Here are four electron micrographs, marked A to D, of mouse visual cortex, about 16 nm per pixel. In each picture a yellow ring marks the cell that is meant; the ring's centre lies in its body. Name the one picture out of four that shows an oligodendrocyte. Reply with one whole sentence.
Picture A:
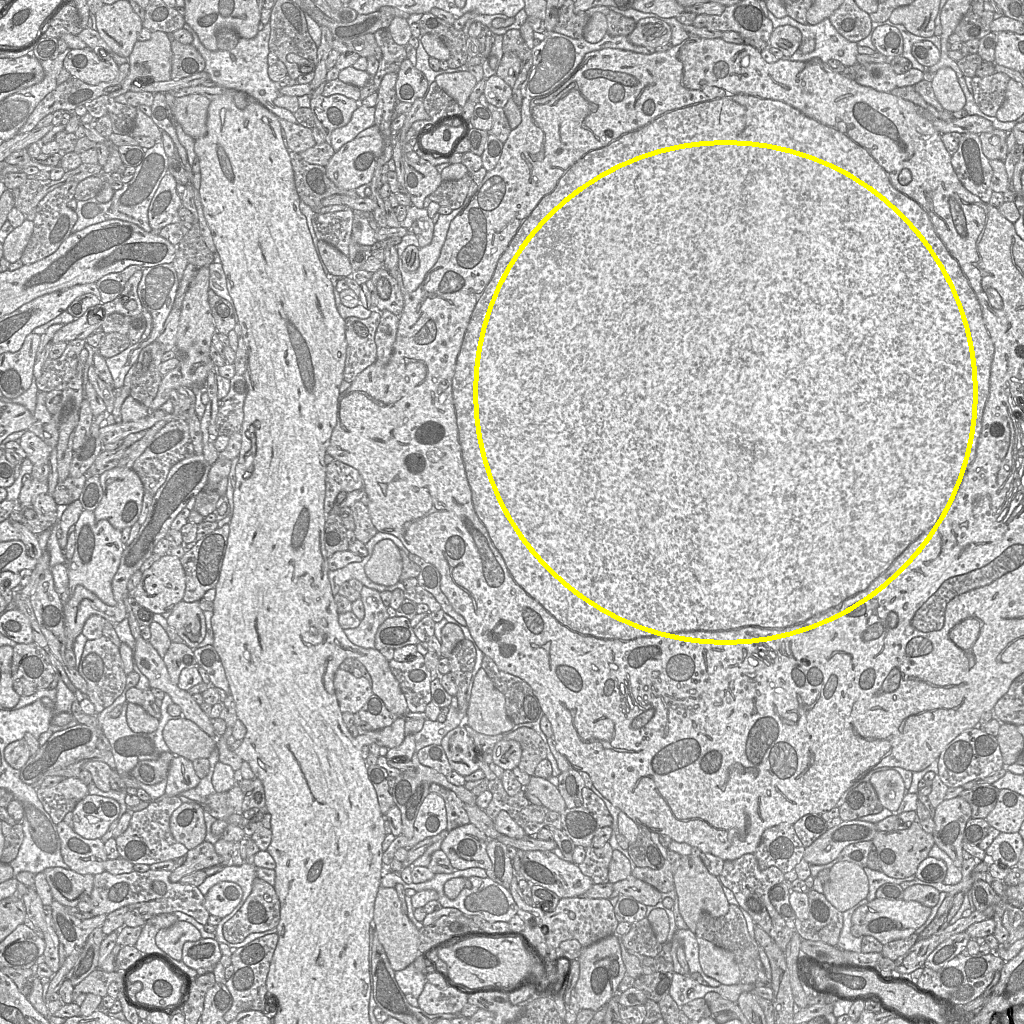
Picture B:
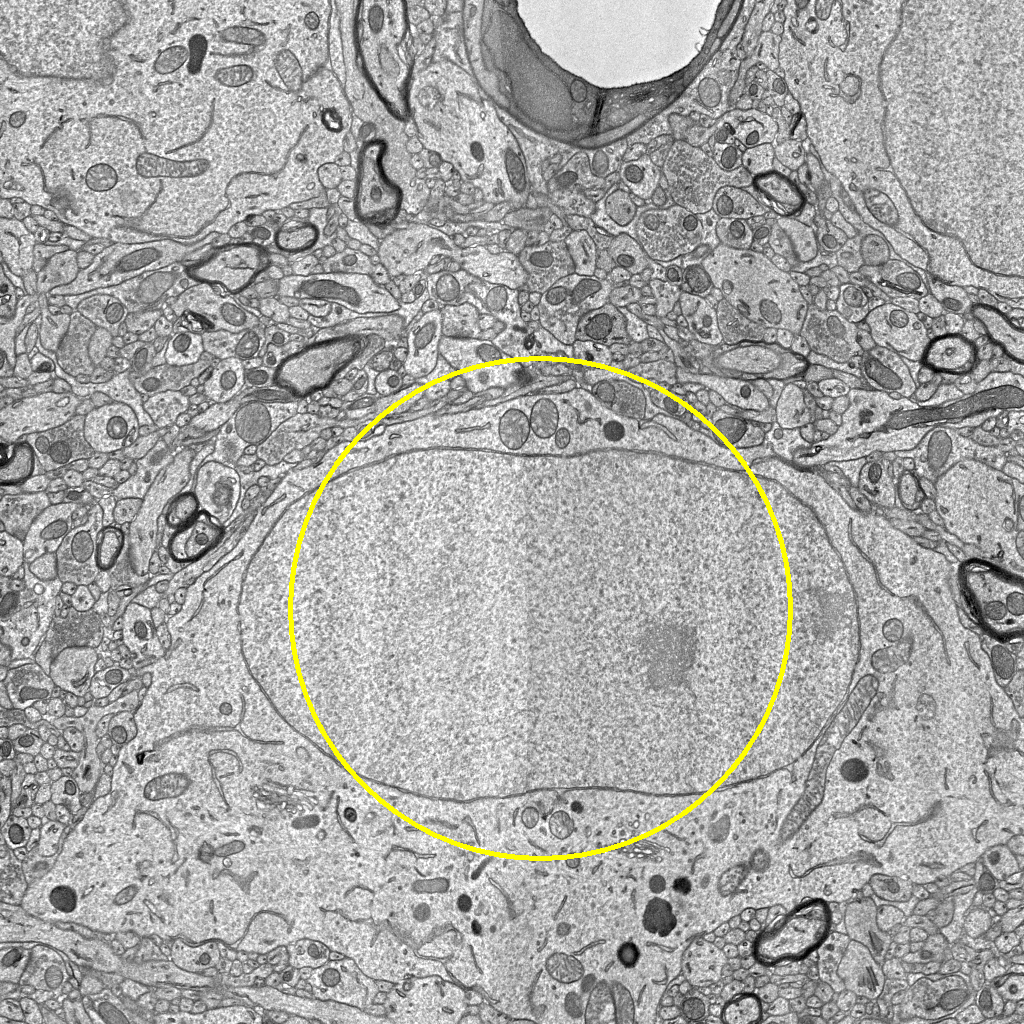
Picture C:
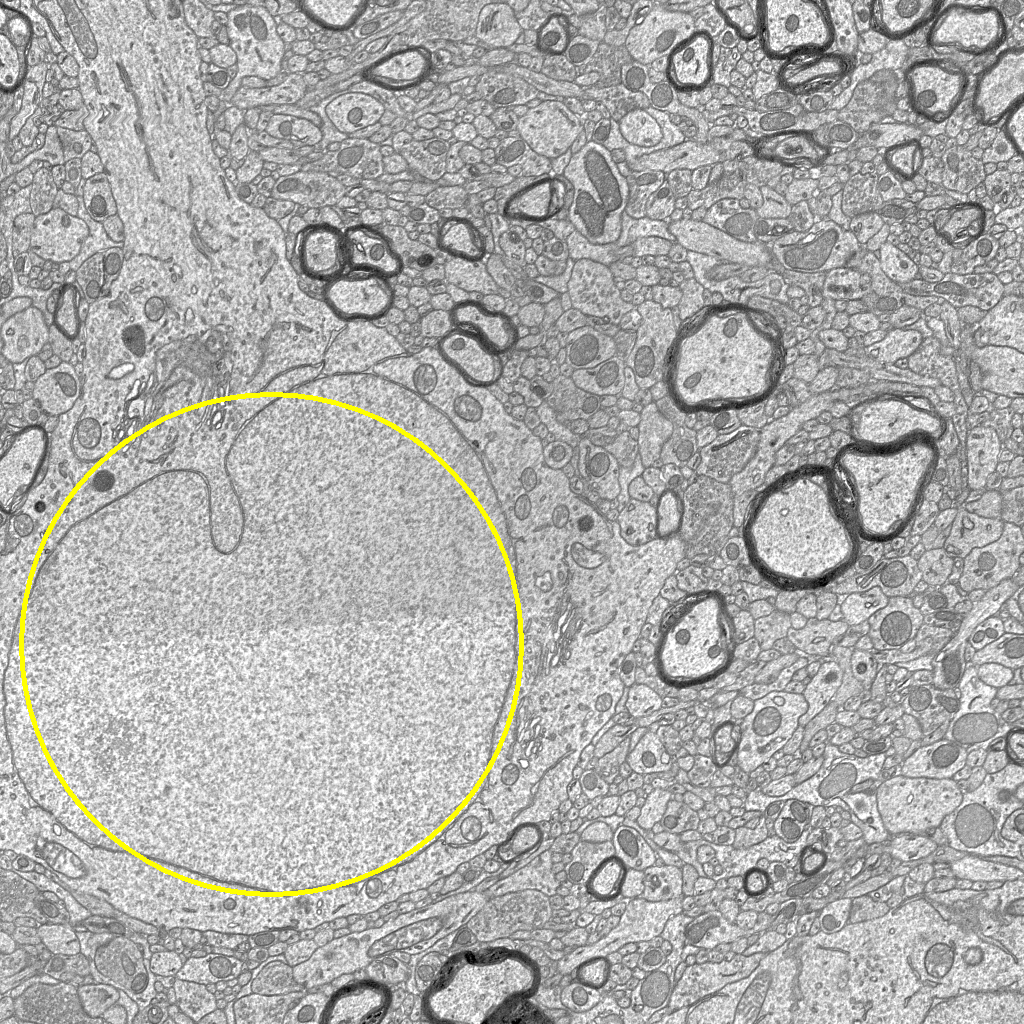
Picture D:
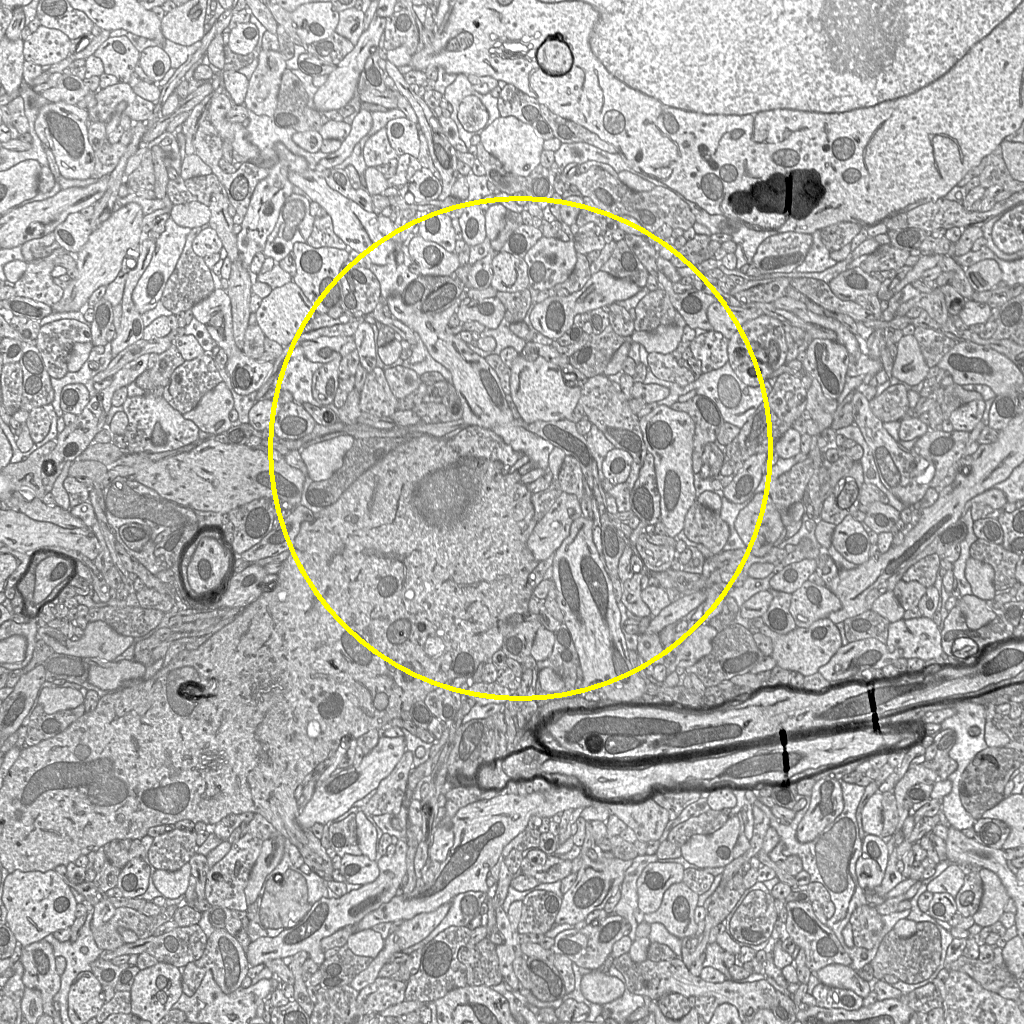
Picture D is the one that shows the oligodendrocyte.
